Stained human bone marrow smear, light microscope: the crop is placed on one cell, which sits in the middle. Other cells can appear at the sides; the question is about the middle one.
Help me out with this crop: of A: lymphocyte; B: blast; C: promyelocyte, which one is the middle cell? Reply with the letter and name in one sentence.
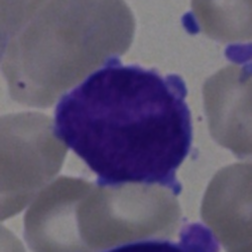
The cell centered in the crop is a blast, making option B the correct pick.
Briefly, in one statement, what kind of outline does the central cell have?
As for its outline, the cell is irregular, ragged or drawn into projections.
